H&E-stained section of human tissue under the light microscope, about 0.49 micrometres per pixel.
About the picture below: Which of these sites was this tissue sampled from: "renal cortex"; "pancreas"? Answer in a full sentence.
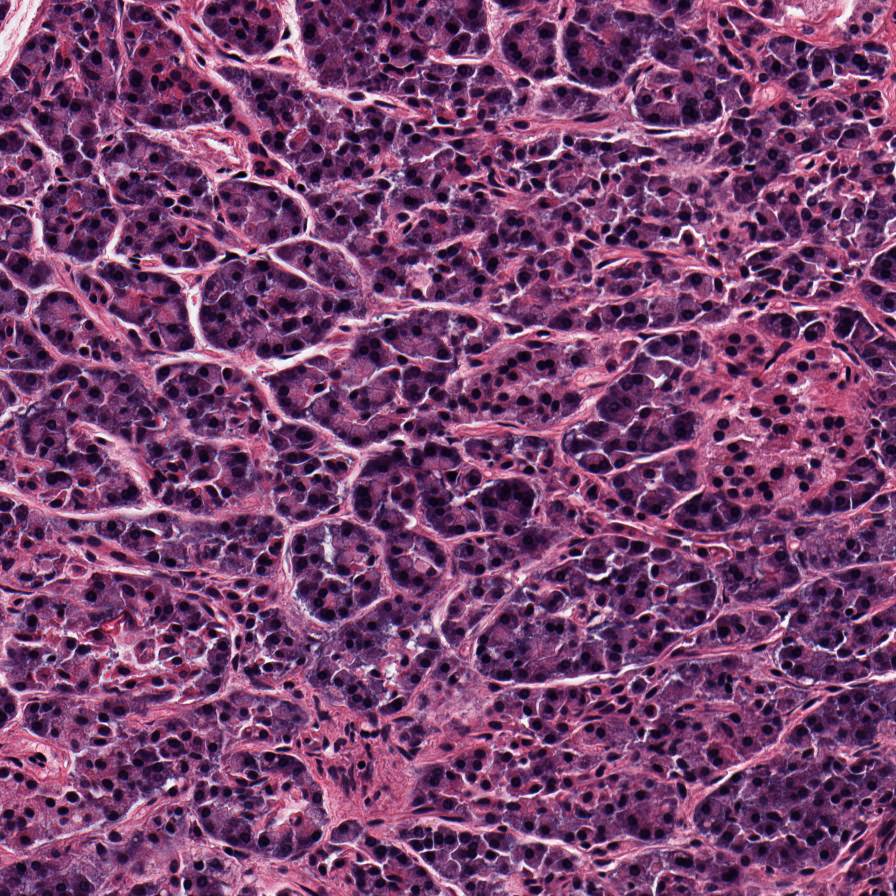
The site this tissue was sampled from is the pancreas.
